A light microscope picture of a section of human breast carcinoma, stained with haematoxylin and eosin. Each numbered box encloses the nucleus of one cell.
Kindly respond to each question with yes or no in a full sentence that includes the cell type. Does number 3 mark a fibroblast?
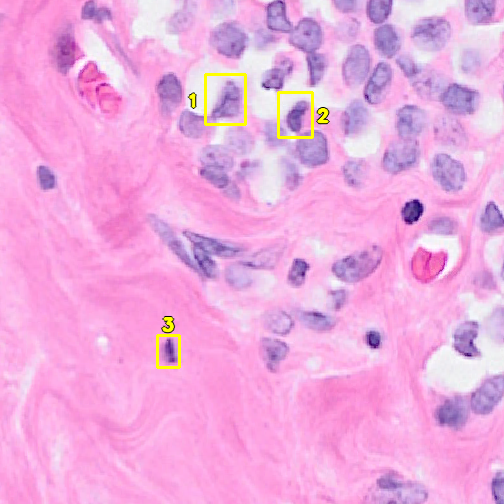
Yes, the cell that has number 3 is a fibroblast.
